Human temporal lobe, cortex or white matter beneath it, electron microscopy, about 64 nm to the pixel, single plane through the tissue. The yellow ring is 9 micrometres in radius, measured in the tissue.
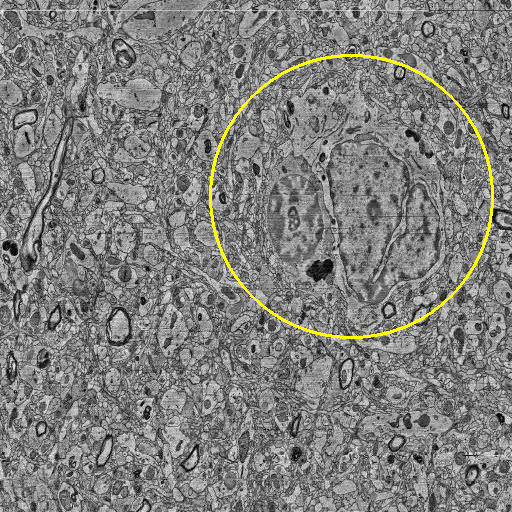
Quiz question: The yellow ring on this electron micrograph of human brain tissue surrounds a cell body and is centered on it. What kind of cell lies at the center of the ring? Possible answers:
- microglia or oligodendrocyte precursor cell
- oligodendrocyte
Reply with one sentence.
The ring's center lies on a microglial cell or oligodendrocyte precursor cell.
